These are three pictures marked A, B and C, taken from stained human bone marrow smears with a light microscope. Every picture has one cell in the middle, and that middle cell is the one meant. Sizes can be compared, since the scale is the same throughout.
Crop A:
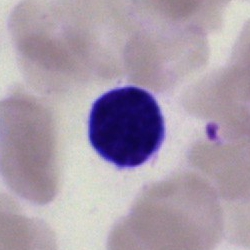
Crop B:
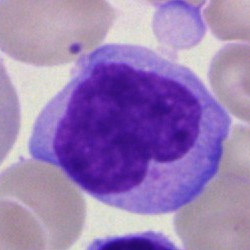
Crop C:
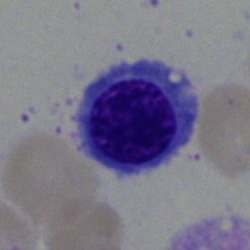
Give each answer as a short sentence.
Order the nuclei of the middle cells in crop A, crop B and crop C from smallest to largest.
From the smallest up, the order is A, C, B.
